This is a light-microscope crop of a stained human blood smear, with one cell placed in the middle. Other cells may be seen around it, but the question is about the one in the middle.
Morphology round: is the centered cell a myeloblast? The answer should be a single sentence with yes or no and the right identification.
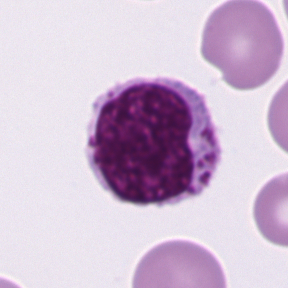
No, the cell positioned in the middle is a large granular lymphocyte, not a myeloblast.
